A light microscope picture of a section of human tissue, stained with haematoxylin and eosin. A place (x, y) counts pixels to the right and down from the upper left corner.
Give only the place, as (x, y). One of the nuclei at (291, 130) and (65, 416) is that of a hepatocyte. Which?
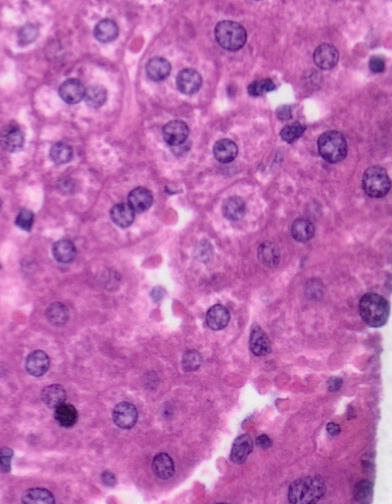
(65, 416)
